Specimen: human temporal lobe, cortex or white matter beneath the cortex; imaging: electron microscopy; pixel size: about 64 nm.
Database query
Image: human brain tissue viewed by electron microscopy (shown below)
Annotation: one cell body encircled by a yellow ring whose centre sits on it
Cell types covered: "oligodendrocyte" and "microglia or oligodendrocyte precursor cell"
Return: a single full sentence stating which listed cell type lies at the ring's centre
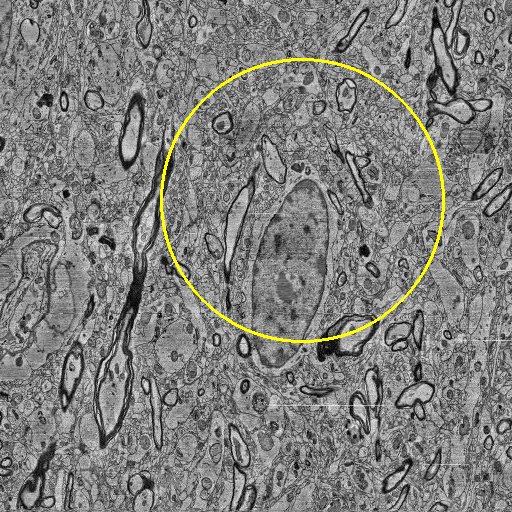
In the image, the cell lying at the ring's centre is a microglial cell or oligodendrocyte precursor cell.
